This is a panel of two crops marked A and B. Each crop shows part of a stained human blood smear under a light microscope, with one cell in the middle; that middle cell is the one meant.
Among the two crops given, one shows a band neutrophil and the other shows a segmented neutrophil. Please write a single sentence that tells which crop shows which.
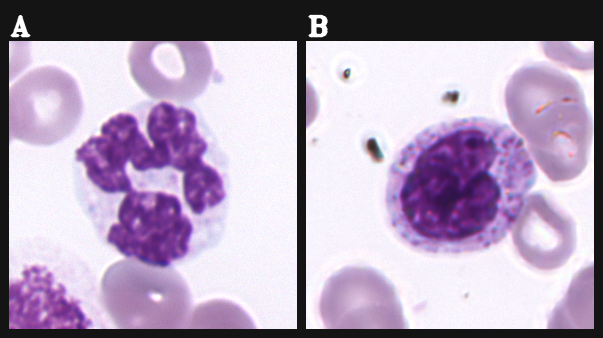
Crop A contains a segmented neutrophil, and crop B, a band neutrophil.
